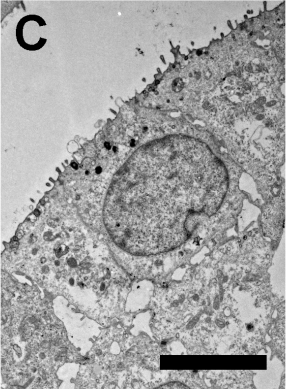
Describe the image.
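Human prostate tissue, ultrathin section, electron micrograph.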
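A cell lines an empty lumen at upper left, its free surface bristling with many short finger-like projections. Beneath this surface the cytoplasm is crowded with small dense granules, vesicles and pale vacuoles, and a large oval nucleus with finely dispersed chromatin lies in the middle of the cell. This is part of the secretory epithelium lining a gland, seen at higher magnification.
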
